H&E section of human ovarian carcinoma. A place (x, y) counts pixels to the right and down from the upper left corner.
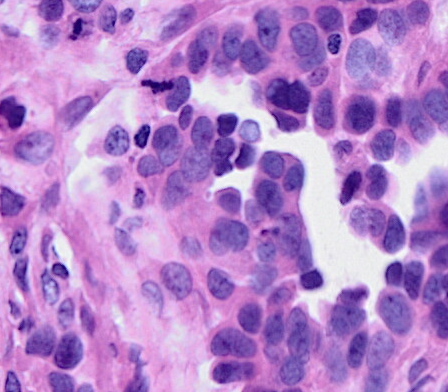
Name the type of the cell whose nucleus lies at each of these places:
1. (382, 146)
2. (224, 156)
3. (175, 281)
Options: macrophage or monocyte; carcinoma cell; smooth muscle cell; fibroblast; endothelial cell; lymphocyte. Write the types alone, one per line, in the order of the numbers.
carcinoma cell
carcinoma cell
fibroblast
